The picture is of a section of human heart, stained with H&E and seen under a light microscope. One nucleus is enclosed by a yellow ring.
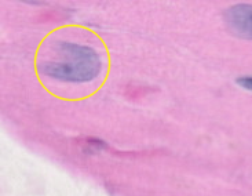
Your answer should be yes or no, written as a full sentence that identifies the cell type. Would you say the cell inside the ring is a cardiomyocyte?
Yes, the classification of the cell inside the ring as a cardiomyocyte is accurate.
